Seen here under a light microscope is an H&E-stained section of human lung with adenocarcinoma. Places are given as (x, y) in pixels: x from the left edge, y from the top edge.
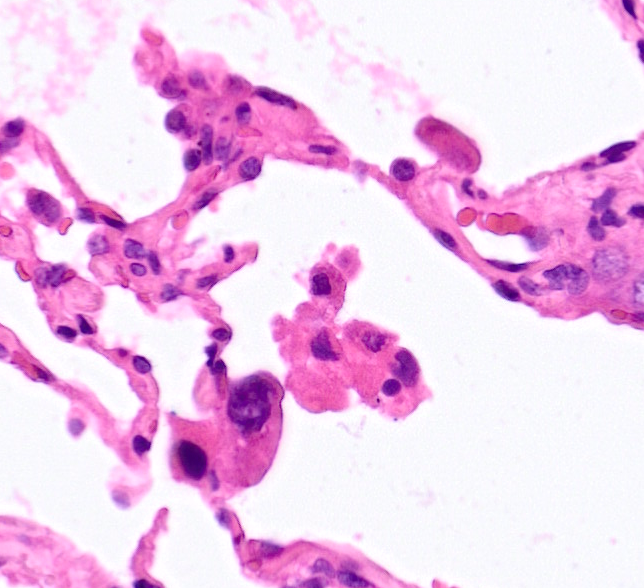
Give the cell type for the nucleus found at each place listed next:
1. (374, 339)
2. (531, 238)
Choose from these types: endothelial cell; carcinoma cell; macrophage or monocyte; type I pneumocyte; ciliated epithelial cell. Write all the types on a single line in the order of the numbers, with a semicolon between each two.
macrophage or monocyte; endothelial cell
